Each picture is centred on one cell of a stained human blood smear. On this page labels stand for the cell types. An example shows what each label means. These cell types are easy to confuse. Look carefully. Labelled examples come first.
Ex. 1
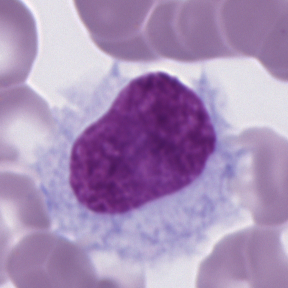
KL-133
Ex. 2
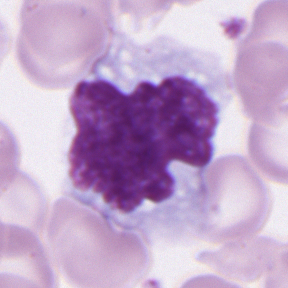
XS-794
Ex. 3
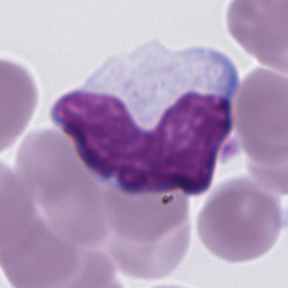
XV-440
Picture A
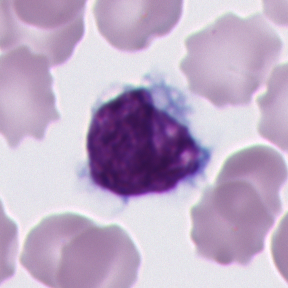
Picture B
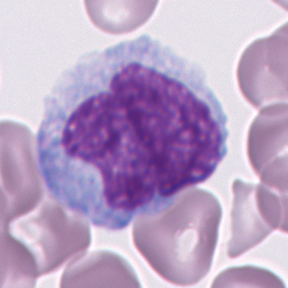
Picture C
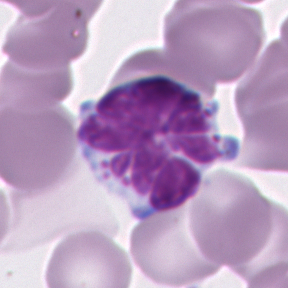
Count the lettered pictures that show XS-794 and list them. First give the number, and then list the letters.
1, namely B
